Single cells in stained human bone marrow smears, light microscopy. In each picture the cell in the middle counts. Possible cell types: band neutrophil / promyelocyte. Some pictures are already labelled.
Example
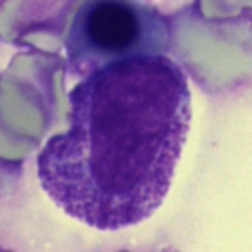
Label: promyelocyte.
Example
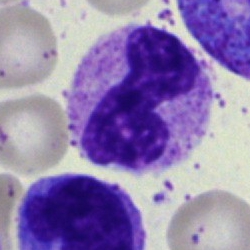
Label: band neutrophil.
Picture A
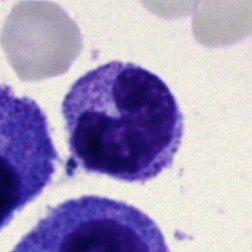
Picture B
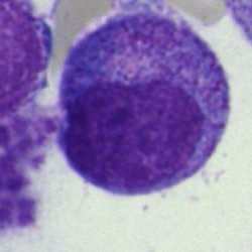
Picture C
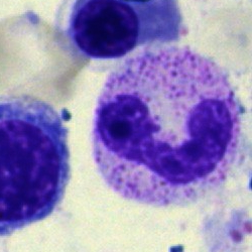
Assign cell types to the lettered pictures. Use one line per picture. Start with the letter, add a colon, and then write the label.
A: band neutrophil.
B: promyelocyte.
C: band neutrophil.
